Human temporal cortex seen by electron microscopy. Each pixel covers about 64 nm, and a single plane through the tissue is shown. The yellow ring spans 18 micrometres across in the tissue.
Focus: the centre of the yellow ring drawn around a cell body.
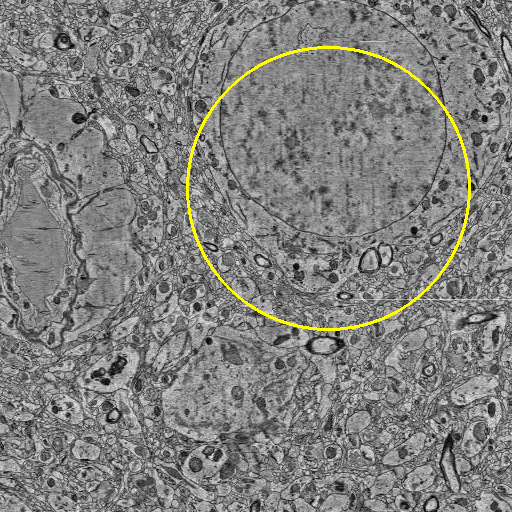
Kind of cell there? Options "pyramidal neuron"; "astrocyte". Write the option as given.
pyramidal neuron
